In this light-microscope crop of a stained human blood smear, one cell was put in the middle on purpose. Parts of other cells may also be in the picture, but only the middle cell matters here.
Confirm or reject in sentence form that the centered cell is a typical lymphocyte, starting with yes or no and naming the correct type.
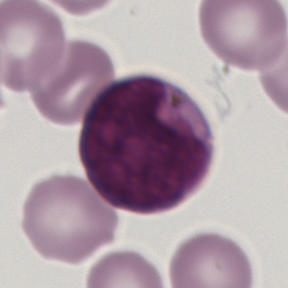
No, the central cell does not represent a typical lymphocyte, but a myeloblast.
